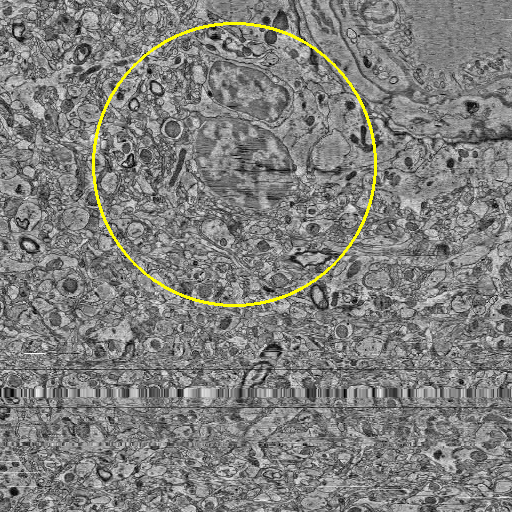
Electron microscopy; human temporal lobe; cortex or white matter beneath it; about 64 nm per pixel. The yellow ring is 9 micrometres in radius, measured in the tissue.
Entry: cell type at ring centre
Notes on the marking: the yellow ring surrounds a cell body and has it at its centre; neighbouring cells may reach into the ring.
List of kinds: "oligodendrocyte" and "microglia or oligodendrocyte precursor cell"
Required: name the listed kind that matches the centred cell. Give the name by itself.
oligodendrocyte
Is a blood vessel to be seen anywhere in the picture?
Yes, there is a blood vessel in the image.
